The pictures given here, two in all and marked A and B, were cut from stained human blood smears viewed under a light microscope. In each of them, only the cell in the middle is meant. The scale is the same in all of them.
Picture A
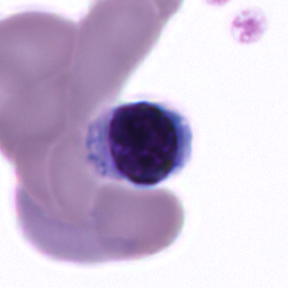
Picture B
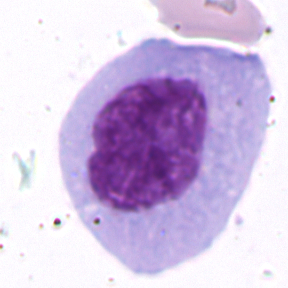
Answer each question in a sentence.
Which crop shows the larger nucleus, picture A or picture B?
Larger is the nucleus in picture B, at roughly 3 times the area of the other.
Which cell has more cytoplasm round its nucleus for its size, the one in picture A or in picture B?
The nucleus fills less of the cell in picture B than in picture A.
